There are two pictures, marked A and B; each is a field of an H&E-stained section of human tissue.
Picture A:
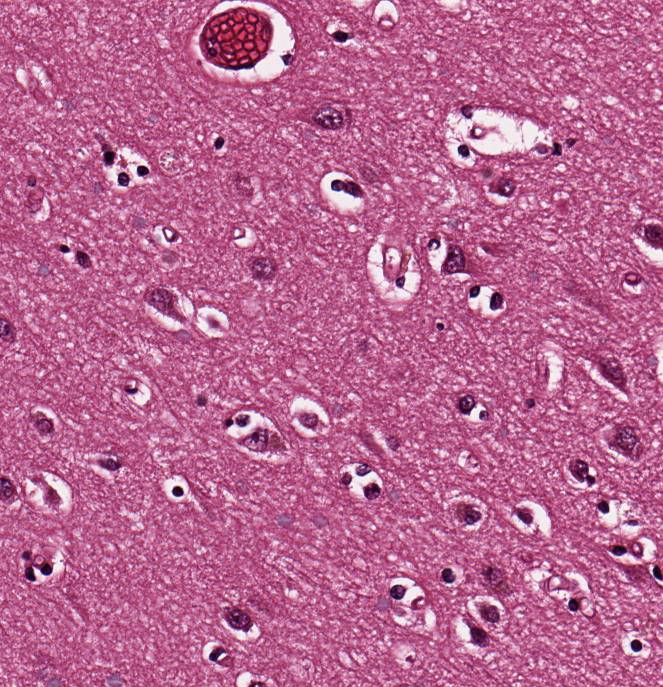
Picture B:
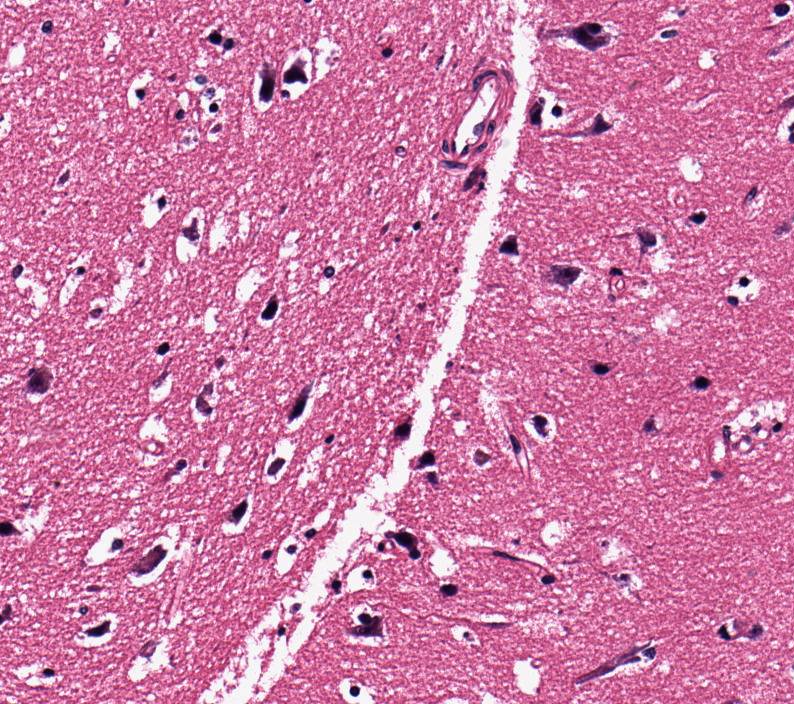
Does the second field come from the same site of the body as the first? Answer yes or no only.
yes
